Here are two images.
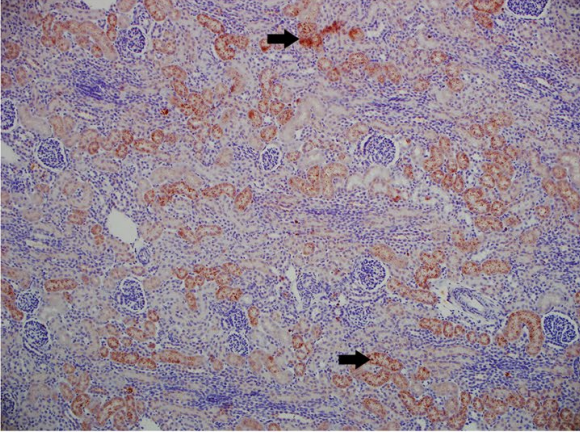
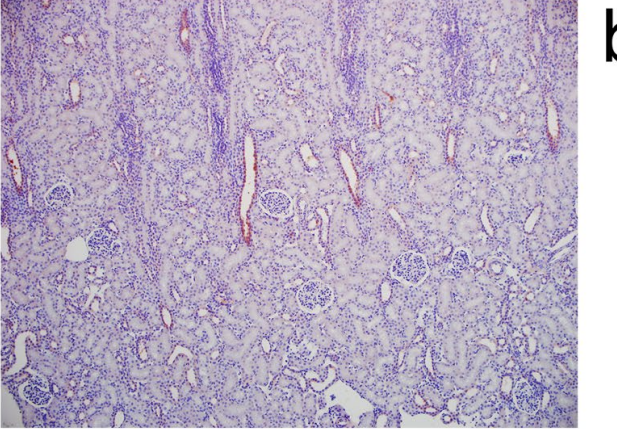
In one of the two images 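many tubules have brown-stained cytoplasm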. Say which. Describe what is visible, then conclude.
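First image: numerous cortical tubules are strongly brown throughout the field. Second image: tubules are pale pink-blue, with brown only lining some vessels and lumens.
Hence: the first image.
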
